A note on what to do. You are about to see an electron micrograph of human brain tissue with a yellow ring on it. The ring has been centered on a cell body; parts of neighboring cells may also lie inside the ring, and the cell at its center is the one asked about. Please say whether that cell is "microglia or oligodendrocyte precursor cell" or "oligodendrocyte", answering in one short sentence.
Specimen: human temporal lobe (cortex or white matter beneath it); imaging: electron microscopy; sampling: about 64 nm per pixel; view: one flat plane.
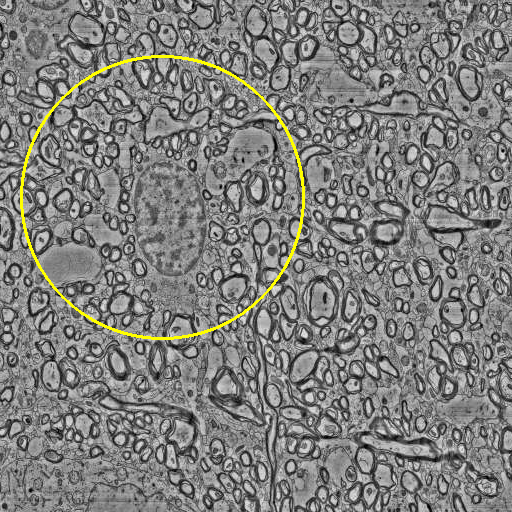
The yellow ring sits on an oligodendrocyte.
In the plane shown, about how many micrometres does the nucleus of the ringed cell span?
The nucleus is about 7 micrometres in length and 5 in width, clearly longer than it is wide in this plane.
